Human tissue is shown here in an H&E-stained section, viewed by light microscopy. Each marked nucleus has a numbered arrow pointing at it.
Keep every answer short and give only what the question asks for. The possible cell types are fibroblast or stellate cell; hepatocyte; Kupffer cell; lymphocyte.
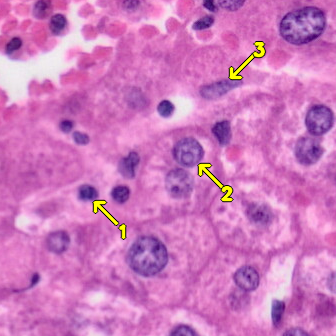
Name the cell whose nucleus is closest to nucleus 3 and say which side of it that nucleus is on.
a fibroblast or stellate cell, below nucleus 3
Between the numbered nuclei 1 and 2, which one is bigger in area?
2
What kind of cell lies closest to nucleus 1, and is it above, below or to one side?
a lymphocyte; to the right of nucleus 1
